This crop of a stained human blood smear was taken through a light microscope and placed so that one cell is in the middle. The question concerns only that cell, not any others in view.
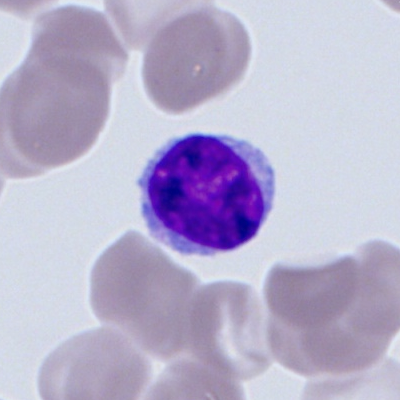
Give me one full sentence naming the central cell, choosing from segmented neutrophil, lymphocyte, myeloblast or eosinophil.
The cell at the centre of the field is a lymphocyte.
